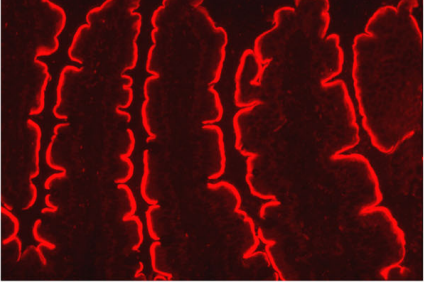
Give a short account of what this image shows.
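This is a section of small intestine showing several tall, finger-like villi lined by enterocytes against a dark background. The inner core of each villus shows only a faint red haze, and the narrow spaces between neighbouring villi are dark. The villi stand close together and parallel, with one cut obliquely at the right edge.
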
